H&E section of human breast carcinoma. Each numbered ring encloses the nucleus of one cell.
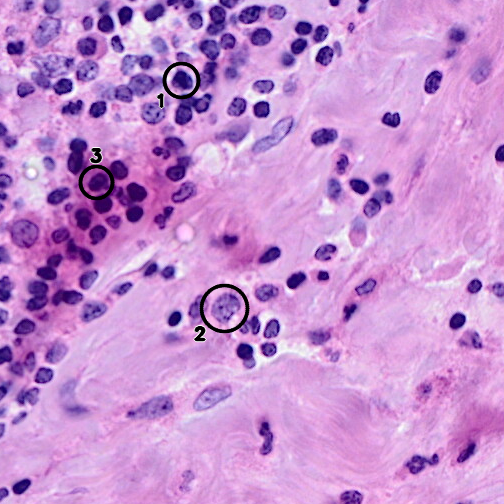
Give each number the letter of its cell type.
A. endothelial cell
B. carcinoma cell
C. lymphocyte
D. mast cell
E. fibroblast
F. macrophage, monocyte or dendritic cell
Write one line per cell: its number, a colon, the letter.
1: C
2: F
3: C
